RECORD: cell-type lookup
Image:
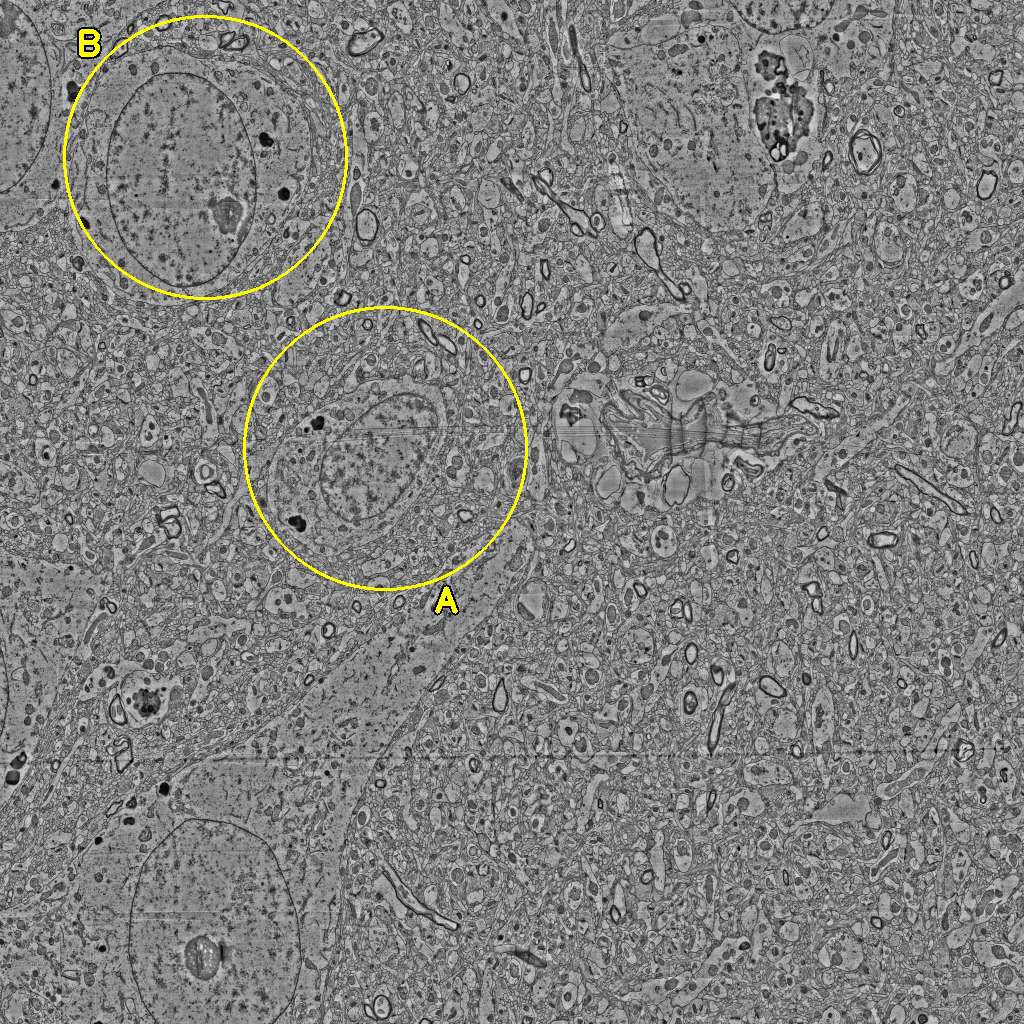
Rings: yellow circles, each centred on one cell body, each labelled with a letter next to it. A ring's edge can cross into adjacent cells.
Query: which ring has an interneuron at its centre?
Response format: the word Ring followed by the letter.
Ring A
